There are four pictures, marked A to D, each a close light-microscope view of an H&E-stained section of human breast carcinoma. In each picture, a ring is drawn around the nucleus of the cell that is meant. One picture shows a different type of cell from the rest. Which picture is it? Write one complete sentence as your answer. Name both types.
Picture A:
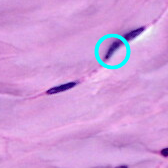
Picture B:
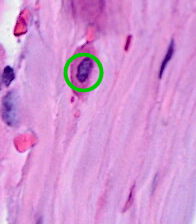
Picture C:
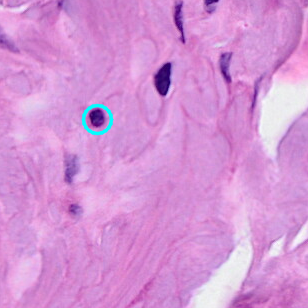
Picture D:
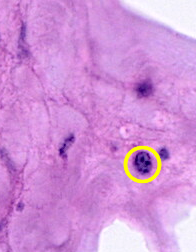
Picture A is the odd one out: it shows a fibroblast, while the others show mast cells.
